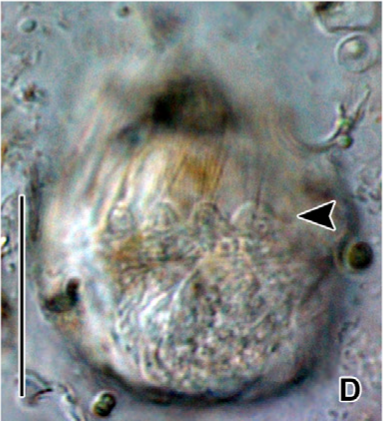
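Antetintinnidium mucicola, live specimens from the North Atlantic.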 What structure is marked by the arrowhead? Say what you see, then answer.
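Ridges run along the upper part of the cell toward its apex. That points to this answer: ridges between the collar membranelles.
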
